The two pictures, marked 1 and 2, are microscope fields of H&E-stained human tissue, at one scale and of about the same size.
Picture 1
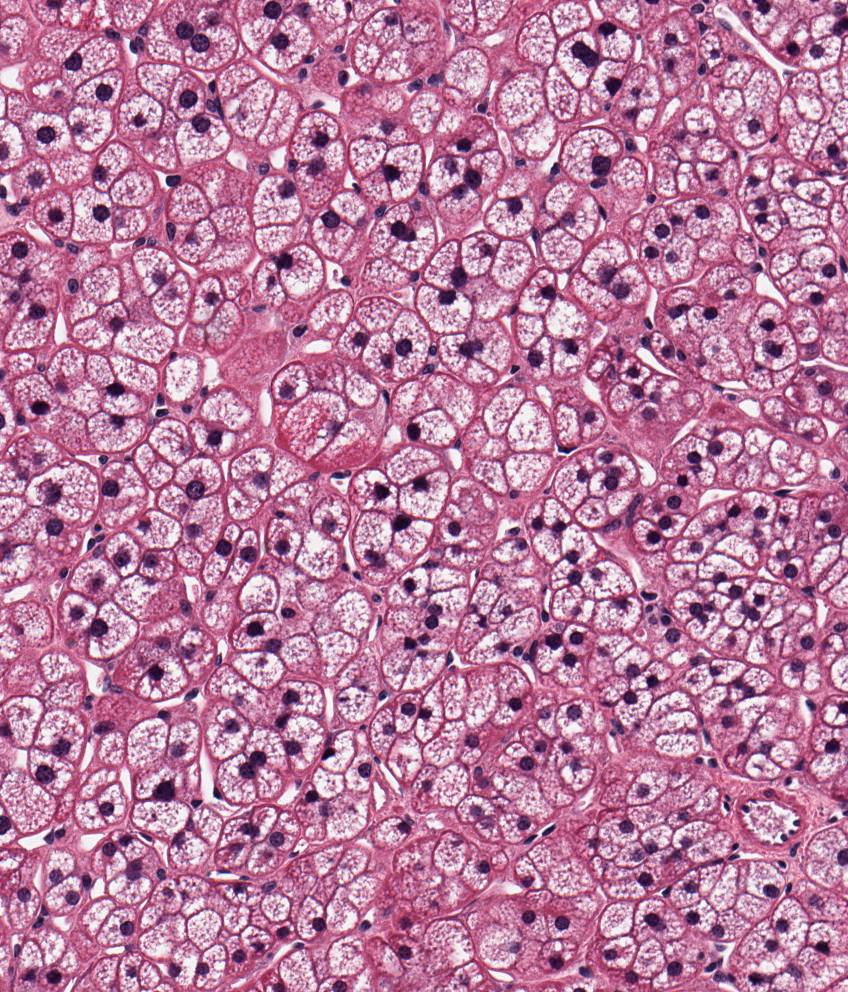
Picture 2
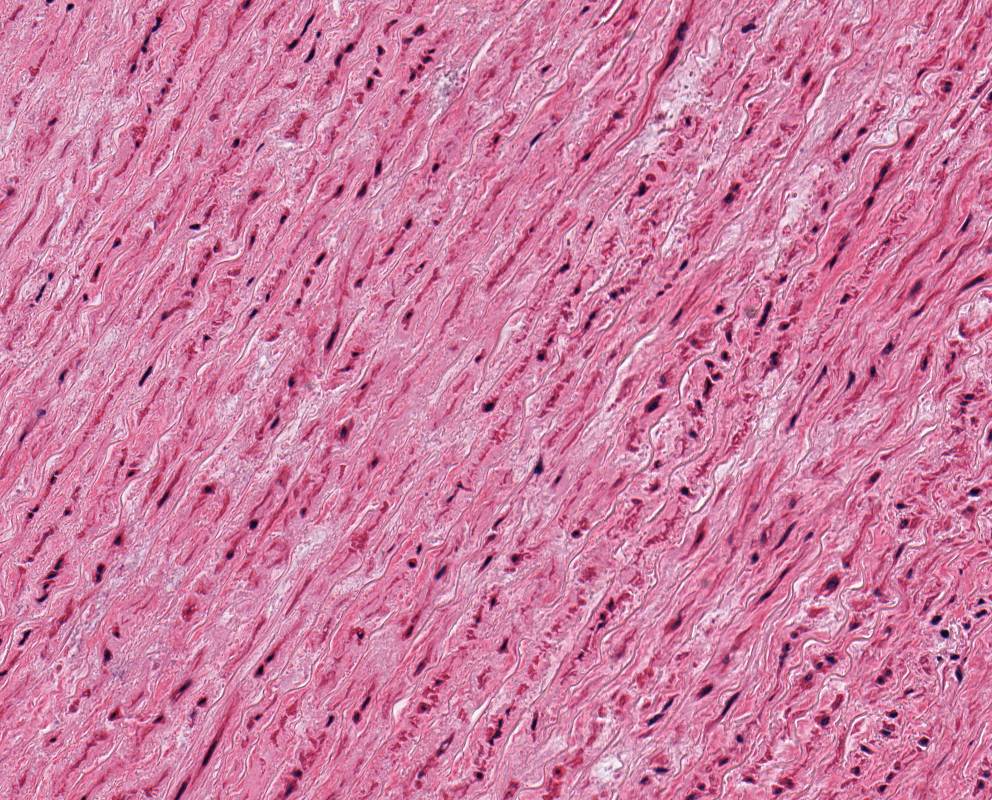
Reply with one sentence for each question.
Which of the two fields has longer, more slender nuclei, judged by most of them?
The nuclei are more elongated in picture 2.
